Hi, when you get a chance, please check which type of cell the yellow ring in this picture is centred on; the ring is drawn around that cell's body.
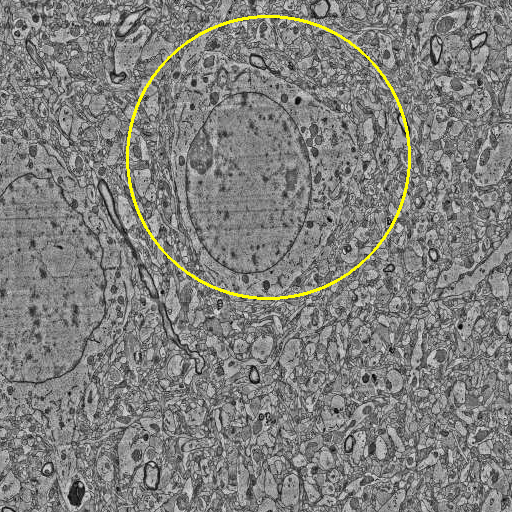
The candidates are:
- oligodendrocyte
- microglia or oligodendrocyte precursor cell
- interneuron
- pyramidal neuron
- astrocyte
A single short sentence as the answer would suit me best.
The ring is drawn around the body of a pyramidal neuron.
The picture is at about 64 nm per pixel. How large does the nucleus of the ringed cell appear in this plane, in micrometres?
About 12 by 8 micrometers for the nucleus, in this plane.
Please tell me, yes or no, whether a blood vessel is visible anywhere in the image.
No, no blood vessel can be seen.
